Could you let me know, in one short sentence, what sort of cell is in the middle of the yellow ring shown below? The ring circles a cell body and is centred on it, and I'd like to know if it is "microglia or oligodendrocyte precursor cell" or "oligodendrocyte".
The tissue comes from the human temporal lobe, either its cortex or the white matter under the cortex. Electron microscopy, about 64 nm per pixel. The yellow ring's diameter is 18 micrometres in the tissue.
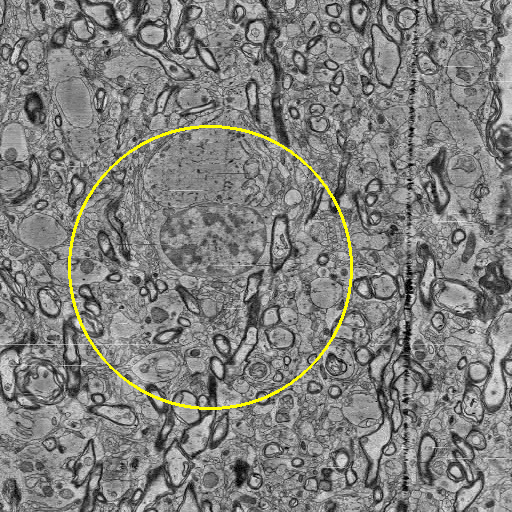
The ring circles the cell body of an oligodendrocyte.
